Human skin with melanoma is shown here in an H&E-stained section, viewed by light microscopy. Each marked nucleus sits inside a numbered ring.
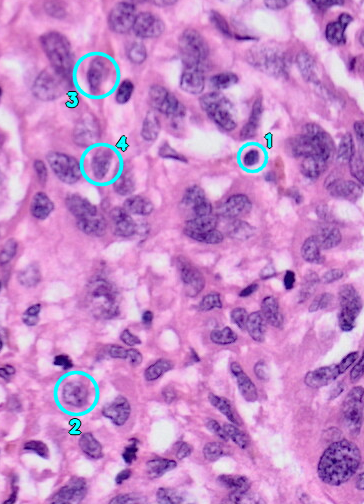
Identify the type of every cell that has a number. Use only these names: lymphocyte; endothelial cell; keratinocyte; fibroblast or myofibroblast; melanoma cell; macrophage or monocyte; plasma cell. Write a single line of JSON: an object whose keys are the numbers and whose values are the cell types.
{"1": "lymphocyte", "2": "melanoma cell", "3": "melanoma cell", "4": "melanoma cell"}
